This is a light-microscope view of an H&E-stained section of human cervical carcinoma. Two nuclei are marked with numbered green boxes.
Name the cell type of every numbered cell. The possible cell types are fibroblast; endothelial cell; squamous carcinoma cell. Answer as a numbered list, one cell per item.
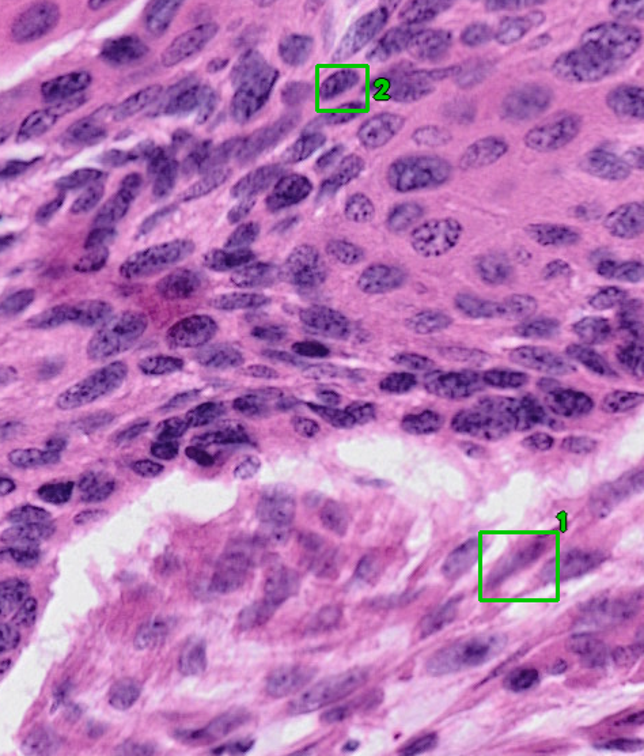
1. fibroblast
2. squamous carcinoma cell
